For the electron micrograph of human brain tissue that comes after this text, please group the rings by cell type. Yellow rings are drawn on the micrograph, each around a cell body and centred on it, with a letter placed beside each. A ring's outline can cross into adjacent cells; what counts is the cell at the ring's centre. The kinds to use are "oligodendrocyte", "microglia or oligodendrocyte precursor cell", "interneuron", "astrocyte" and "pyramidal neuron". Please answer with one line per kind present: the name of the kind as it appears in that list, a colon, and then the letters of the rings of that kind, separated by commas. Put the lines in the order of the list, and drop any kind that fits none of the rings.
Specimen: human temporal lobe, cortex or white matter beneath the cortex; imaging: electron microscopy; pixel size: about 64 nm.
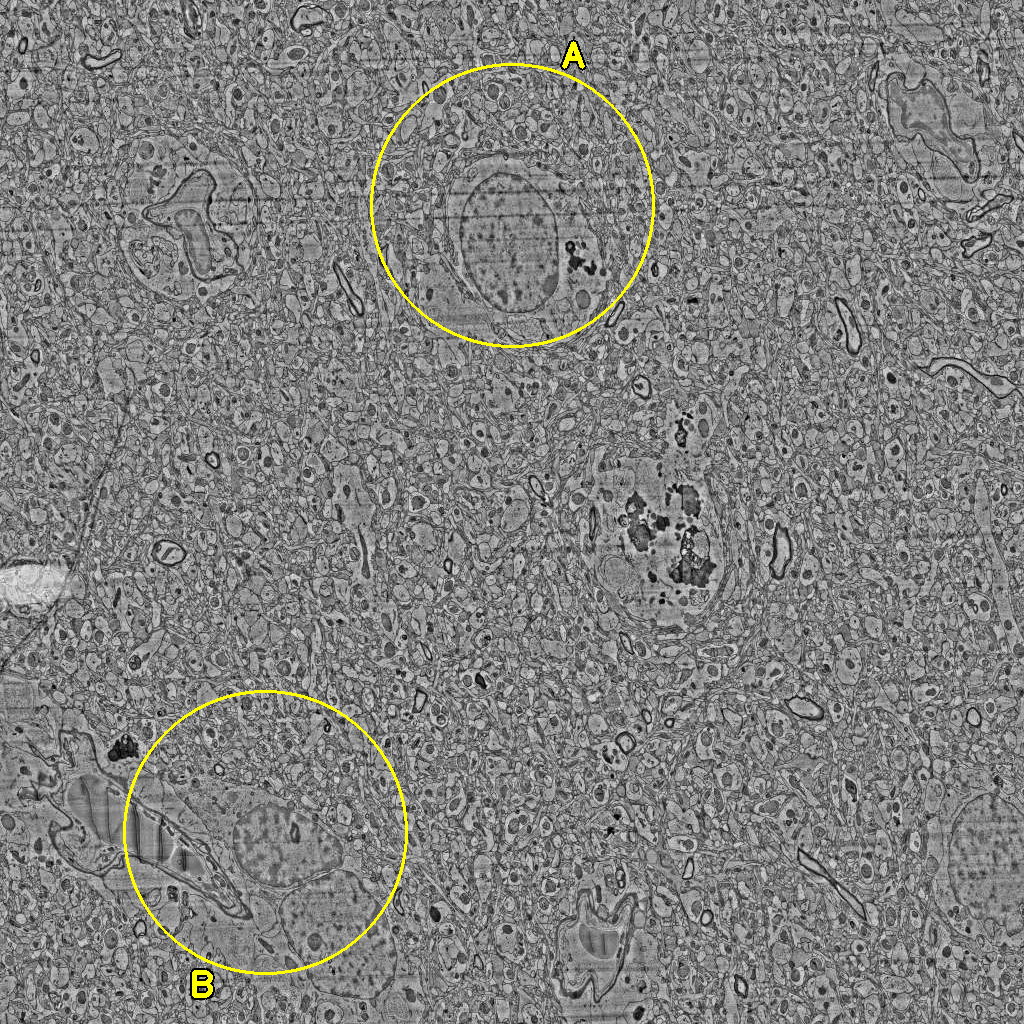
oligodendrocyte: B
astrocyte: A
